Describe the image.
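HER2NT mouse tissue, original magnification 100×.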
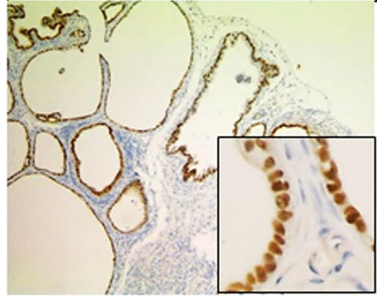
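Cystic lesions are seen as many rounded, dilated spaces of varying size, separated by thin bands of fibrous stroma. The nuclei of the lining cells are stained brown, forming a continuous brown rim around each cavity. The enlarged inset shows a single row of closely spaced lining cells with oval, brown-stained nuclei, while the spindle-shaped stromal cells beneath have blue nuclei. The lumens are largely empty.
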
